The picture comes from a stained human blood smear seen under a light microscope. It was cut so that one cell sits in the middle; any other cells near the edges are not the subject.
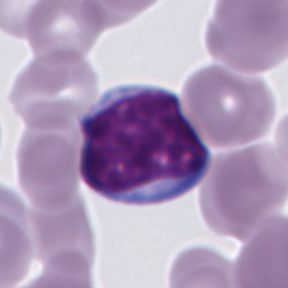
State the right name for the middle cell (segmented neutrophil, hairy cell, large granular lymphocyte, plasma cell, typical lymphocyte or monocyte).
typical lymphocyte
